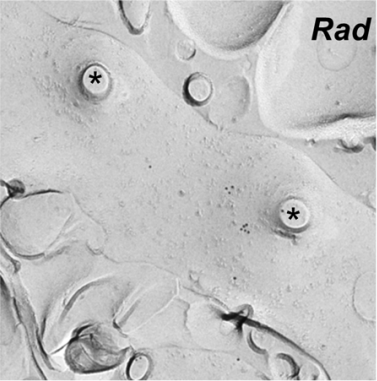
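This electron micrograph shows a replica of a spiny dendrite, seen as a broad, smooth, finely granular membrane face running across the field. Two small round profiles, marked by asterisks, rise from this surface where spine necks have been cross-fractured. Tiny dark gold particles lie on the membrane face, mostly in small clusters near the dendritic surface. Around the dendrite, other fractured membranes and round profiles of neighbouring elements appear as curved ridges and shadowed outlines.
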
